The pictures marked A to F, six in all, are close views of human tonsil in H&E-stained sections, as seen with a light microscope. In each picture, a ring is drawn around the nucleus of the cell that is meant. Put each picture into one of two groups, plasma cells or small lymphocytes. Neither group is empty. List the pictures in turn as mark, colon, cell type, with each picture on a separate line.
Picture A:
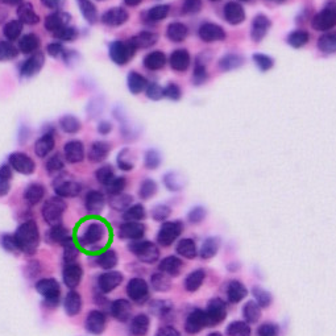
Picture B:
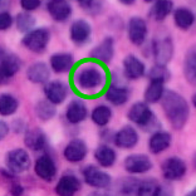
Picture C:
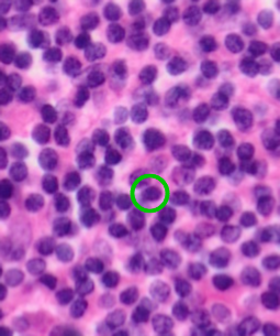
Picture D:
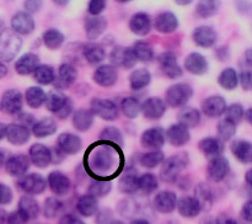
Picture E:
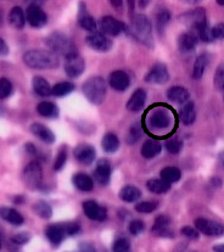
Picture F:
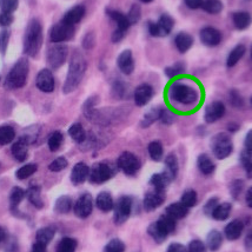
A: small lymphocyte
B: small lymphocyte
C: small lymphocyte
D: small lymphocyte
E: plasma cell
F: plasma cell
